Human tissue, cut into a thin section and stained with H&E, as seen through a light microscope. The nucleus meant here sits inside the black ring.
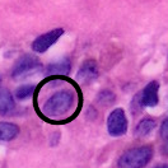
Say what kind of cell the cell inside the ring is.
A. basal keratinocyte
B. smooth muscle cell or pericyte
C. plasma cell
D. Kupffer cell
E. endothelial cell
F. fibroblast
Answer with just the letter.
A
